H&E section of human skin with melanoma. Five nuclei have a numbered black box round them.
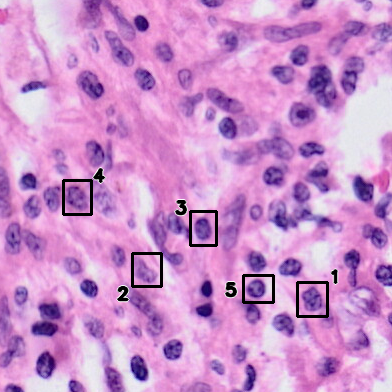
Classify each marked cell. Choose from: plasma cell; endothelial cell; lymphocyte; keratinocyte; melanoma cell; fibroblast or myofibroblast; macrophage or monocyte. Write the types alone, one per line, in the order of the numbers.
lymphocyte
macrophage or monocyte
lymphocyte
macrophage or monocyte
lymphocyte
